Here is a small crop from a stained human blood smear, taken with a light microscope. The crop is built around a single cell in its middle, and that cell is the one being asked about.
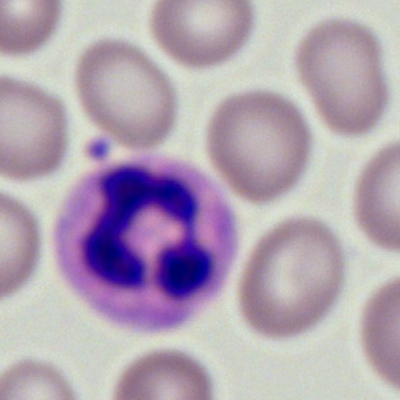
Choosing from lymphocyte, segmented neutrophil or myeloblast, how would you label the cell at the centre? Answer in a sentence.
Seen at the centre of the crop is a segmented neutrophil.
